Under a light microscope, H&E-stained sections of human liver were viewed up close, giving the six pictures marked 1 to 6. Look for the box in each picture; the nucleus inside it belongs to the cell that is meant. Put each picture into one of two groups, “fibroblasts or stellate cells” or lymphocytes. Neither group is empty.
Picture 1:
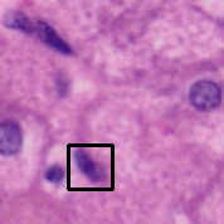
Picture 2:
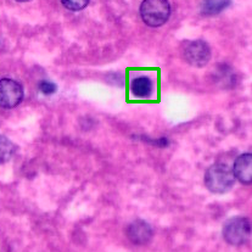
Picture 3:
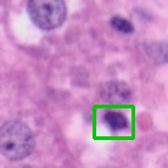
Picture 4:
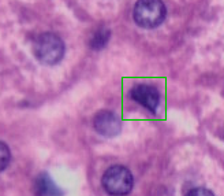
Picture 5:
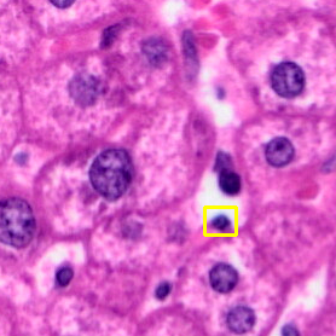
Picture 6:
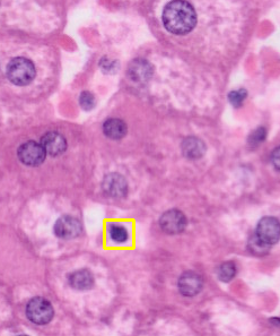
1: fibroblast or stellate cell
2: lymphocyte
3: lymphocyte
4: fibroblast or stellate cell
5: lymphocyte
6: lymphocyte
